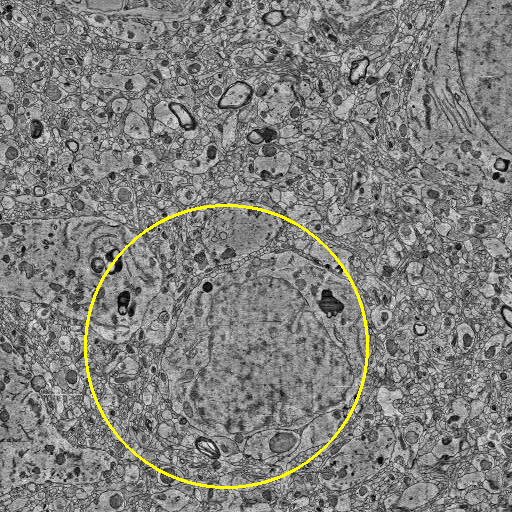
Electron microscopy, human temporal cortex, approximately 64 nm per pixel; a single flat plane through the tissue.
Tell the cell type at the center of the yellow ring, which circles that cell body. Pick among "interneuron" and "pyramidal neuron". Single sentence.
The ring is centered on the body of an interneuron.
